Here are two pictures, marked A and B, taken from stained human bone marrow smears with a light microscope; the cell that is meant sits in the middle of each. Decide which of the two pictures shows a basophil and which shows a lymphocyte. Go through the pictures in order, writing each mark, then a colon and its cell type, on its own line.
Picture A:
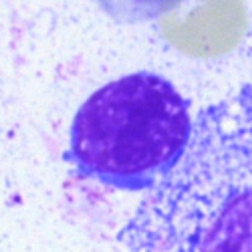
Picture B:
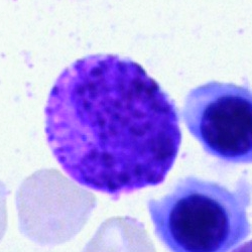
A: lymphocyte
B: basophil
